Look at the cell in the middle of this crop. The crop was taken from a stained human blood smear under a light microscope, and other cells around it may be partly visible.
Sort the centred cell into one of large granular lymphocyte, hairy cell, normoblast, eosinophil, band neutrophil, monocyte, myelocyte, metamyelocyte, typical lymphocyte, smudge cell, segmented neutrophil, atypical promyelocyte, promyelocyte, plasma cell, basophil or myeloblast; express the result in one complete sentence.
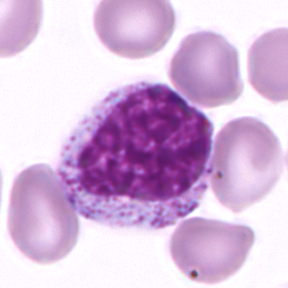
In the central position of this crop, the cell is a metamyelocyte.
